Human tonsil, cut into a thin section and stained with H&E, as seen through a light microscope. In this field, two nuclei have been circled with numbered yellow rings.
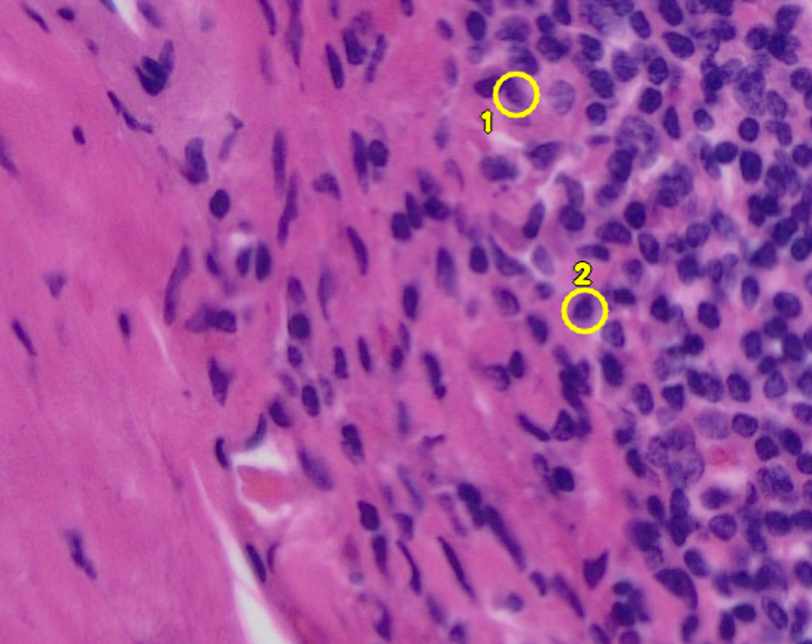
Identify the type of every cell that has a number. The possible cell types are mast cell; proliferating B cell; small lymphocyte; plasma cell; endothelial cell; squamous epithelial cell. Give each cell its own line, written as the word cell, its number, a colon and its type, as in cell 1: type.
cell 1: endothelial cell
cell 2: plasma cell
